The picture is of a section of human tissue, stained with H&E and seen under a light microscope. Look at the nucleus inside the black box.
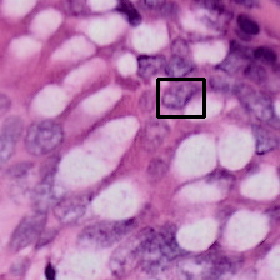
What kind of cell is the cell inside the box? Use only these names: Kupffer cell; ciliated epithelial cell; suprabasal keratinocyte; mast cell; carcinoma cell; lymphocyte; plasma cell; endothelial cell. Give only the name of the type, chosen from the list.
ciliated epithelial cell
